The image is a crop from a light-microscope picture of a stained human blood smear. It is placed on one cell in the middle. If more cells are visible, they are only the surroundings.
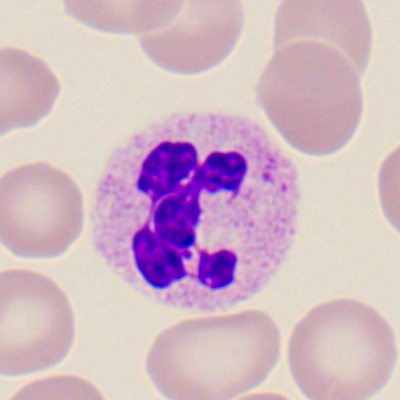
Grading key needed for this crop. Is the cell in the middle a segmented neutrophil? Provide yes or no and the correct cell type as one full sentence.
Yes, the cell at the center of the crop is a segmented neutrophil.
